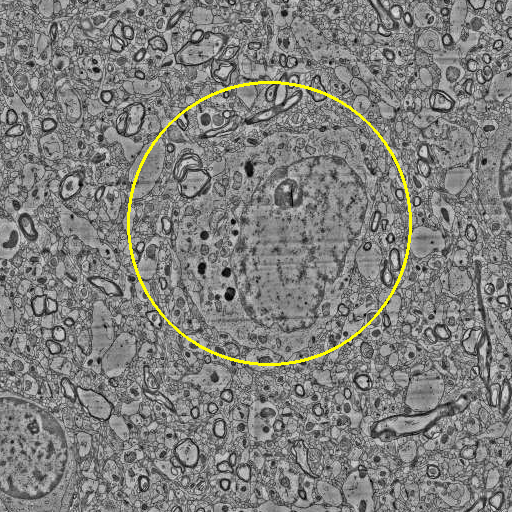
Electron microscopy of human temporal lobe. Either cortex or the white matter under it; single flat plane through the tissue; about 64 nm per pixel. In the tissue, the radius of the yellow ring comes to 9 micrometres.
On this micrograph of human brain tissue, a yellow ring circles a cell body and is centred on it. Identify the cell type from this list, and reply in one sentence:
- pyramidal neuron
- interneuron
The cell at the centre is an interneuron.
